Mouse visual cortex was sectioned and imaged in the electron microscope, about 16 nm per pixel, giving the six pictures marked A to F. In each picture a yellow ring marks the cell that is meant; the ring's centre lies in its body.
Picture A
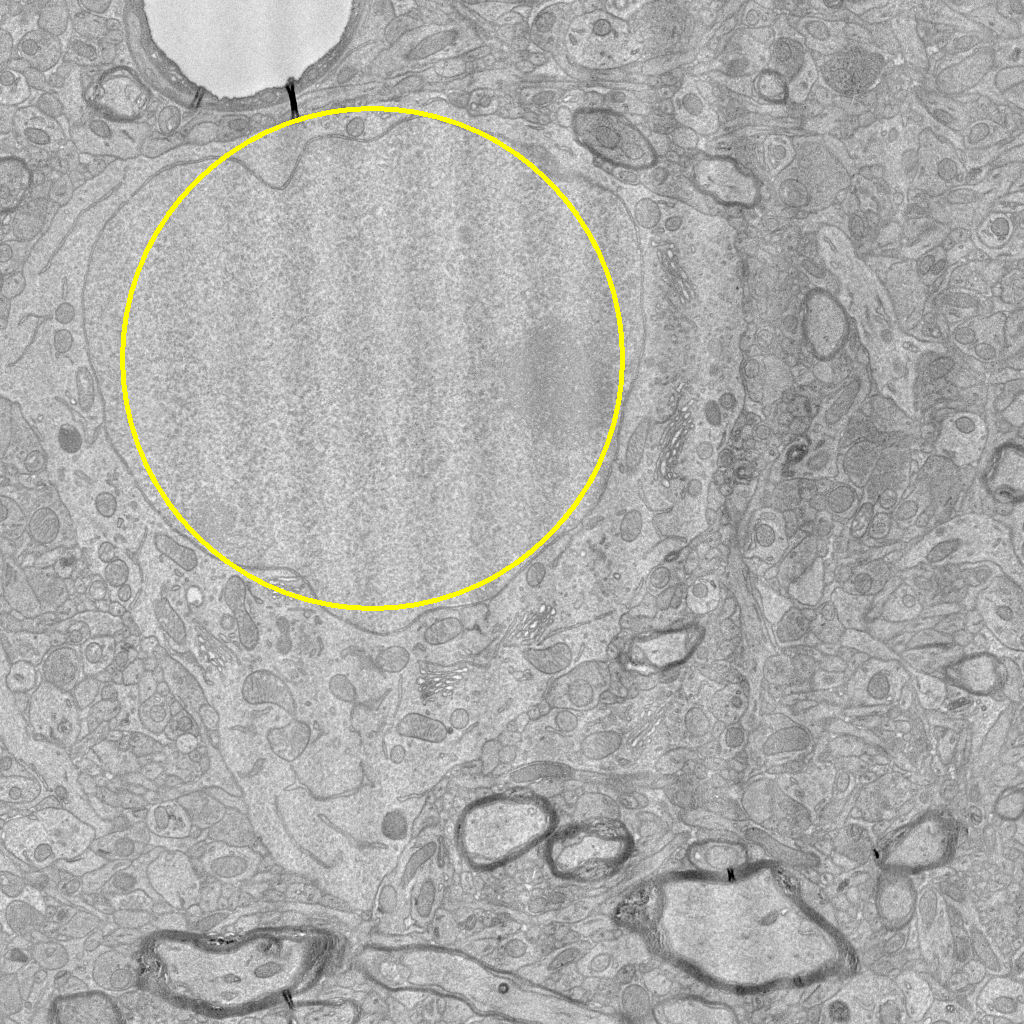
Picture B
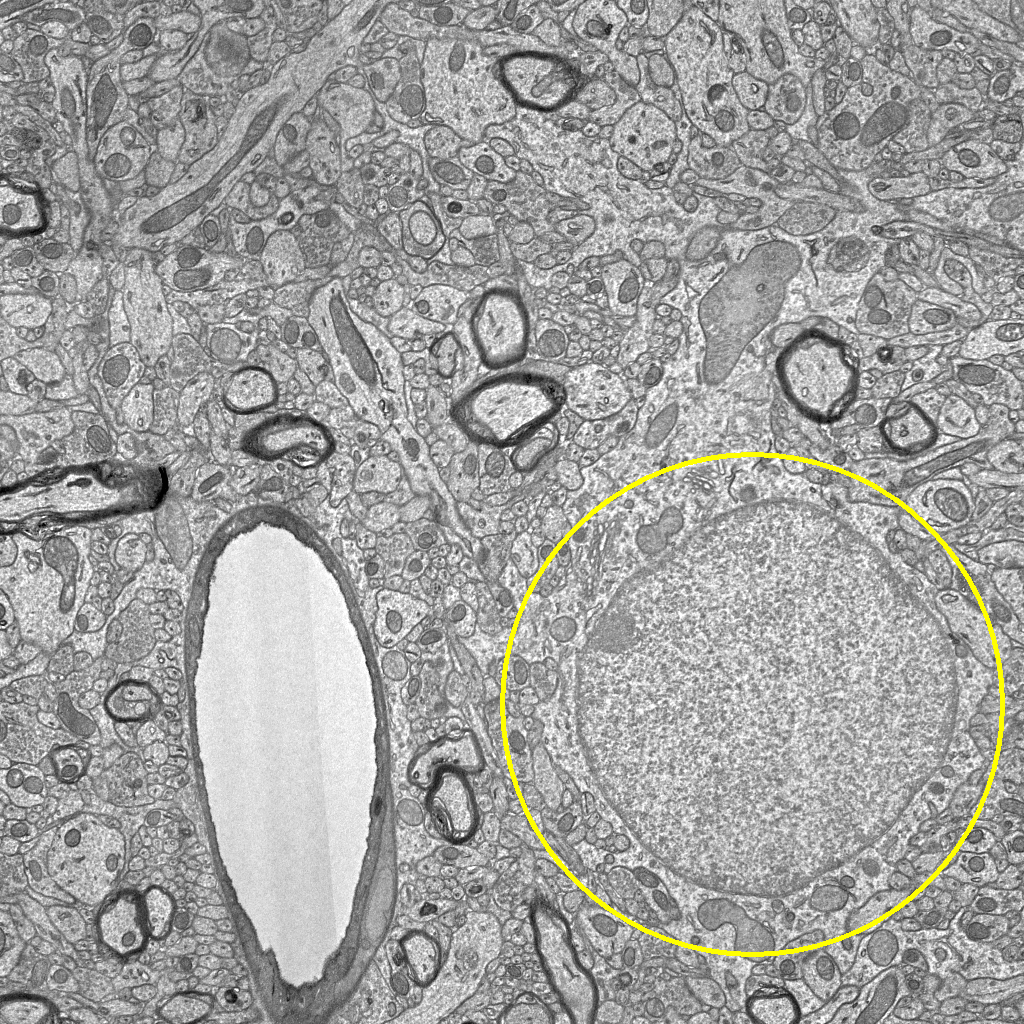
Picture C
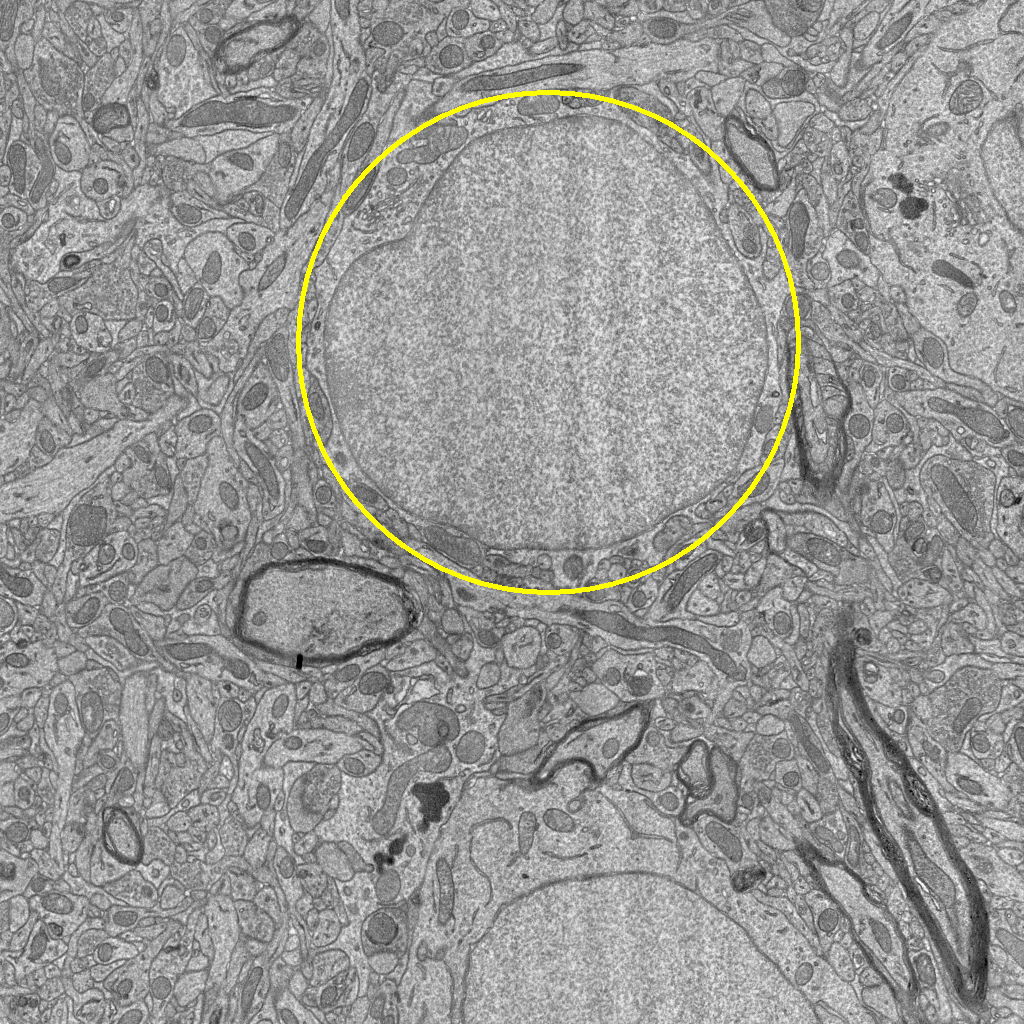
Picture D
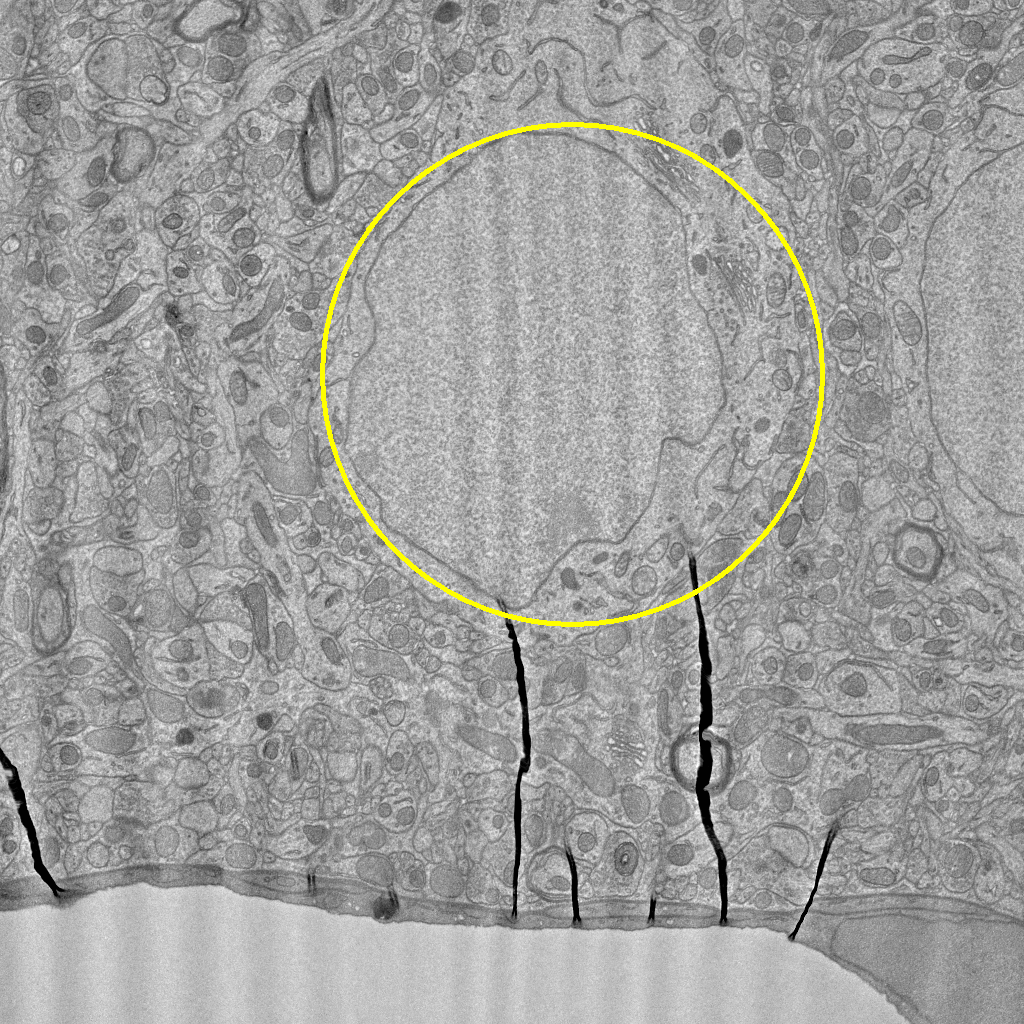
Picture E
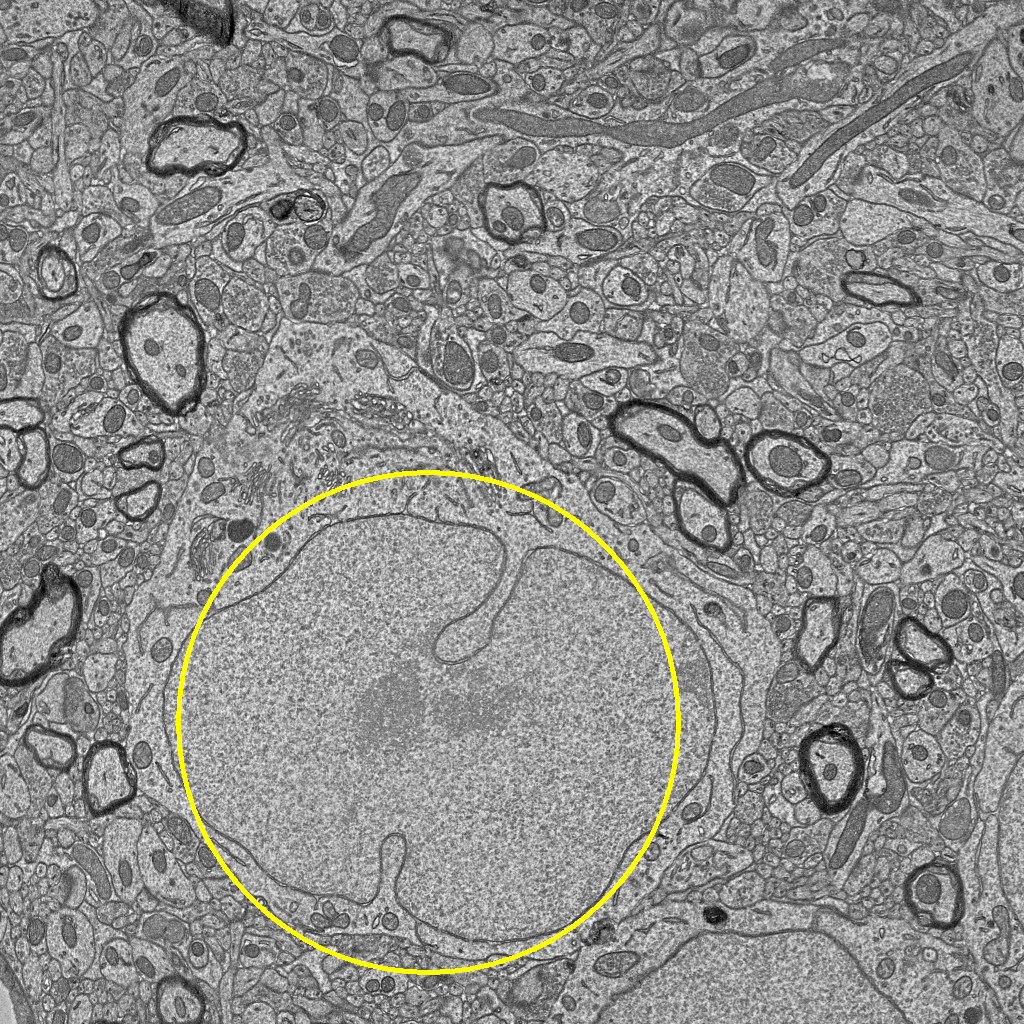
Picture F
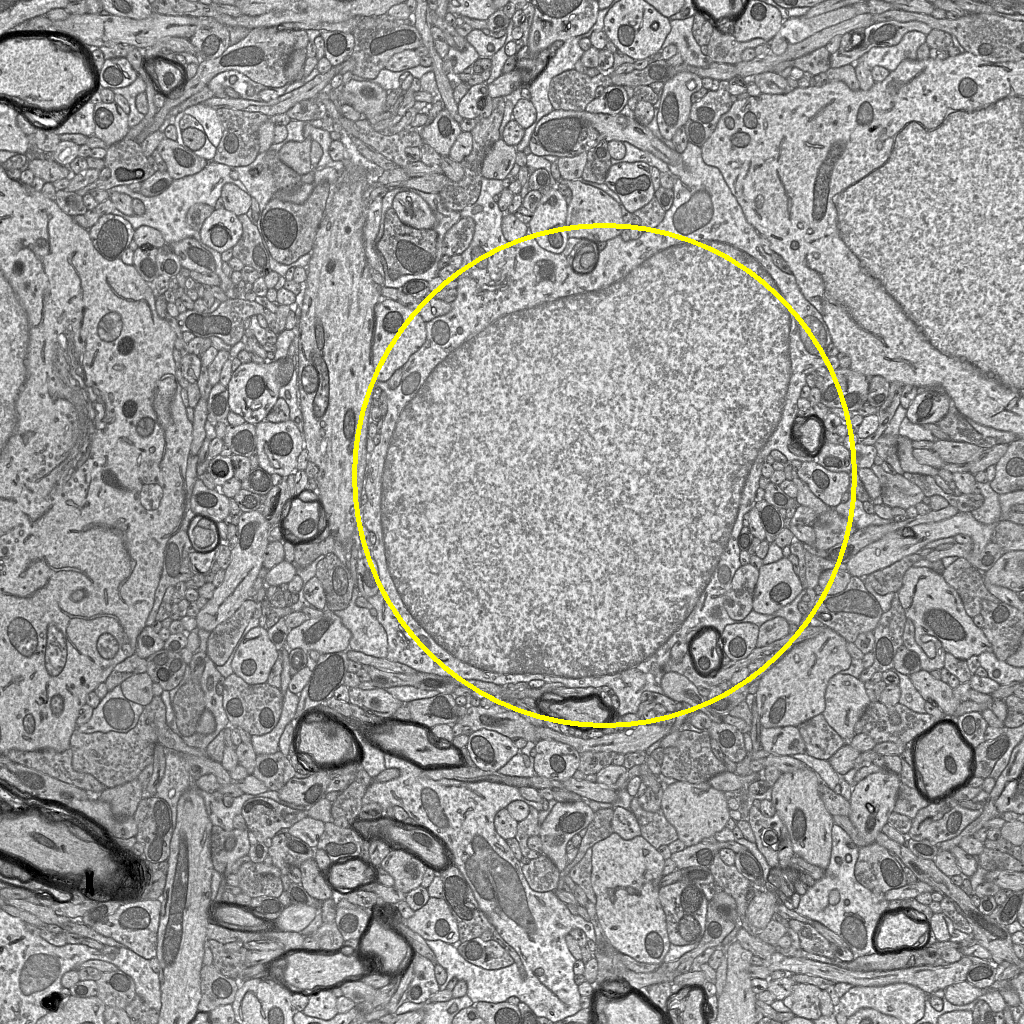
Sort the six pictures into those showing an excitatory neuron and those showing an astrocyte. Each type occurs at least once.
Pictures A, D and E show excitatory neurons, while pictures B, C and F show astrocytes.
